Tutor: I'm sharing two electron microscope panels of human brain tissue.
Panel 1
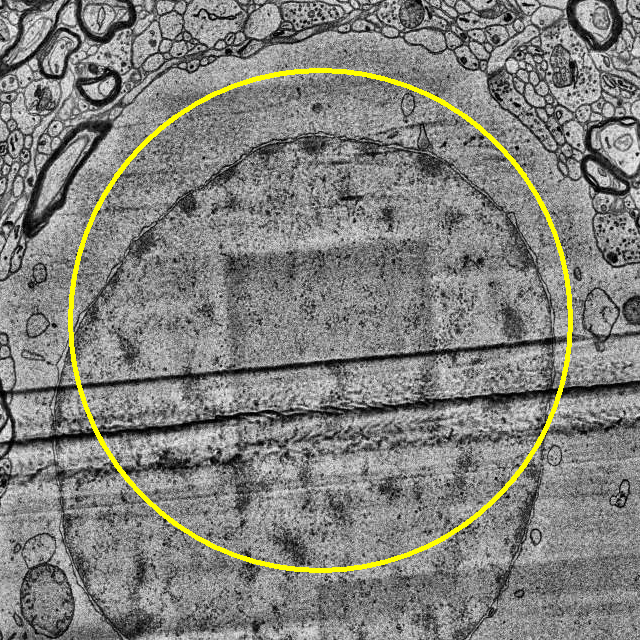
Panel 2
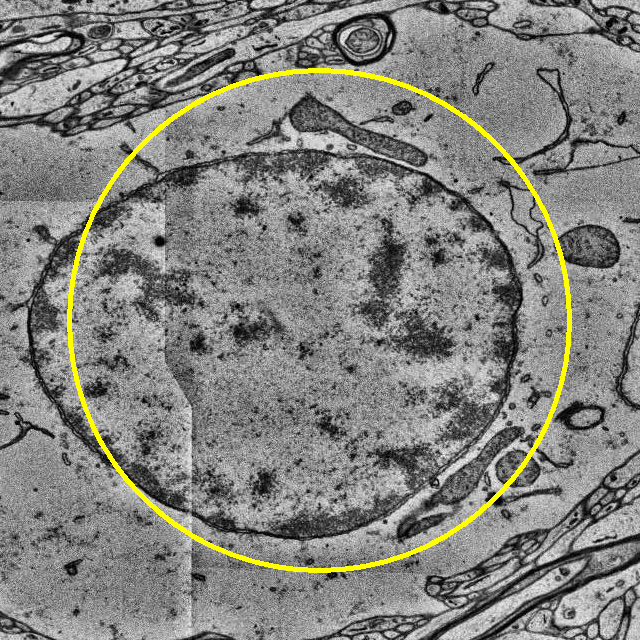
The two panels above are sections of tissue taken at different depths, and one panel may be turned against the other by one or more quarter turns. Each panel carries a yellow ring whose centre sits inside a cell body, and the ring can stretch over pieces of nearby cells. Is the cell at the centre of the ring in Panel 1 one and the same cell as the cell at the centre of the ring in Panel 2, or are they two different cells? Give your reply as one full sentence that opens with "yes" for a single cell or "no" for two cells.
No, the two rings do not mark one cell; they mark two different cells.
